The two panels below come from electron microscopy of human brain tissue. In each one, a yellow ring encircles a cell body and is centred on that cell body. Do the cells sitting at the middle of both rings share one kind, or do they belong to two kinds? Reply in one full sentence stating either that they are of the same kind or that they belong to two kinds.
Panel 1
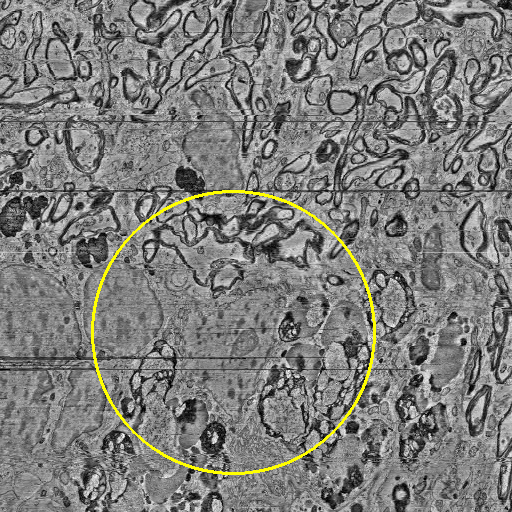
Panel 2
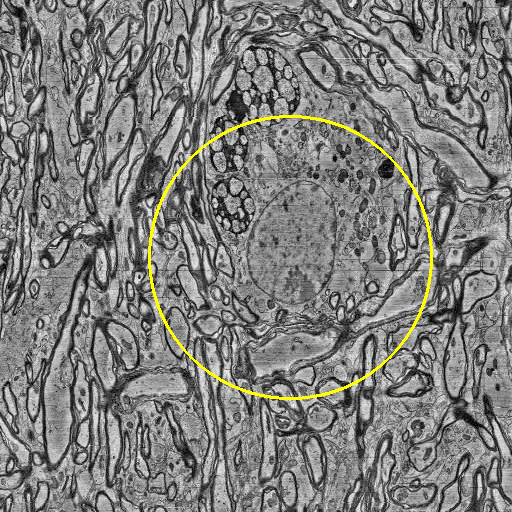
The cells at the centres of the two rings are of the same kind.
